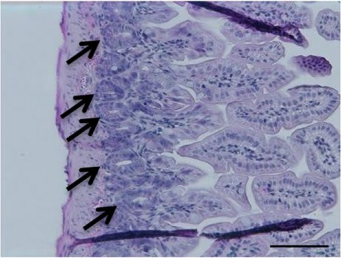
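This is small intestinal mucosa in section, with long finger-like villi covered by a single layer of columnar epithelium with purple nuclei, and pink connective cores. Along the base of the mucosa, just above the thin pink muscle wall, lies a row of small round glandular profiles, several marked by arrows. These crypts are not dilated and are lined by a ring of well-stained epithelial cells with dark nuclei. The crypts sit close to one another along the base, and the villi above them keep an orderly arrangement.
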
